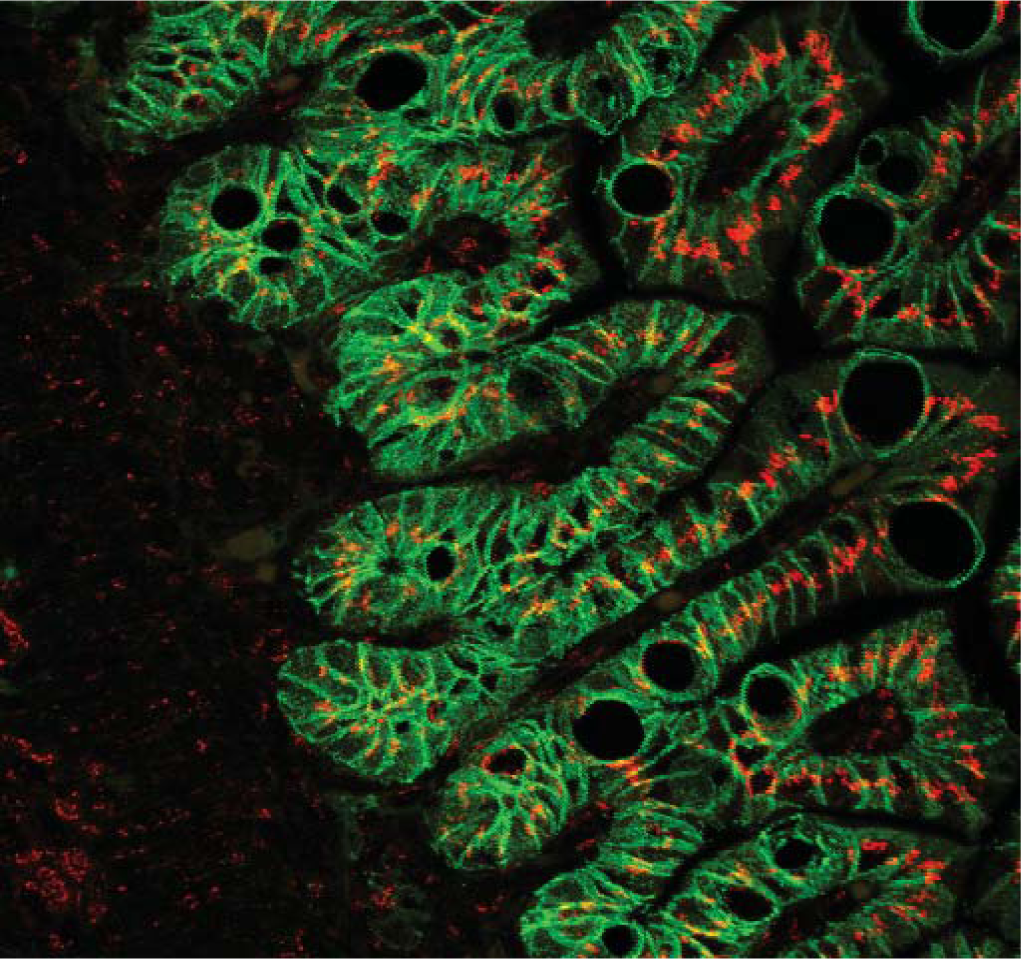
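Red clustered dots sit in each cell between the nucleus and the lumen, forming a ring parallel to the epithelial surface. Sparse red dots also lie in the surrounding stroma.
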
